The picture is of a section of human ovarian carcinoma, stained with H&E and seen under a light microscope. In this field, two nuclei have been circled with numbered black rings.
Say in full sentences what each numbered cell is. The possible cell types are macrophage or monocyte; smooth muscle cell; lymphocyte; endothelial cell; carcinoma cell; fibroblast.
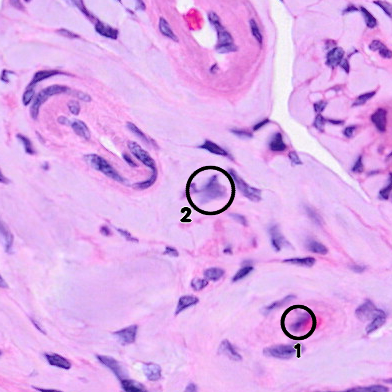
Cell 1 is an endothelial cell. Cell 2 is a fibroblast.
